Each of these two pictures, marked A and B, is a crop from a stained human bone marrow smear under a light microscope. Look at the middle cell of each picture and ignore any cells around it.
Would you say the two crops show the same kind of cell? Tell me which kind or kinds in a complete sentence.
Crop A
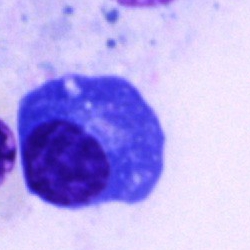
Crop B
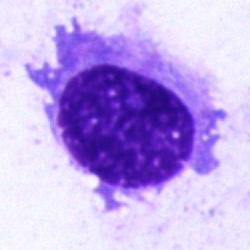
Yes, both crops are centred on plasma cells.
